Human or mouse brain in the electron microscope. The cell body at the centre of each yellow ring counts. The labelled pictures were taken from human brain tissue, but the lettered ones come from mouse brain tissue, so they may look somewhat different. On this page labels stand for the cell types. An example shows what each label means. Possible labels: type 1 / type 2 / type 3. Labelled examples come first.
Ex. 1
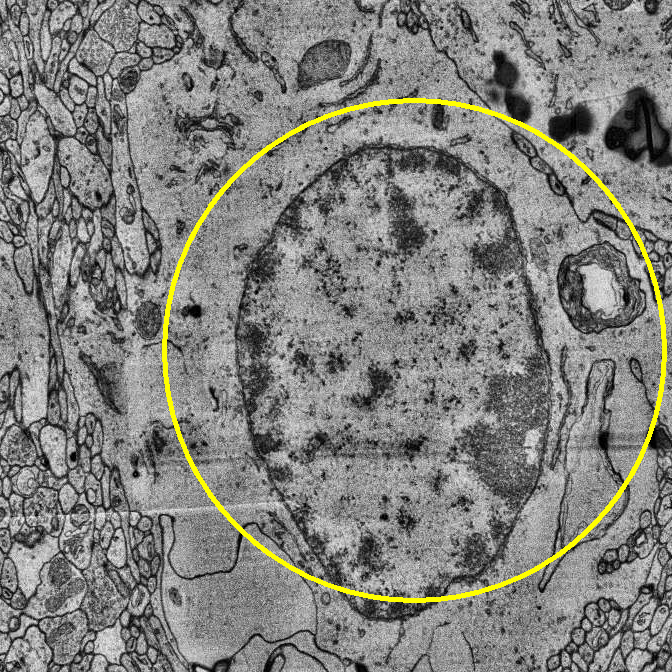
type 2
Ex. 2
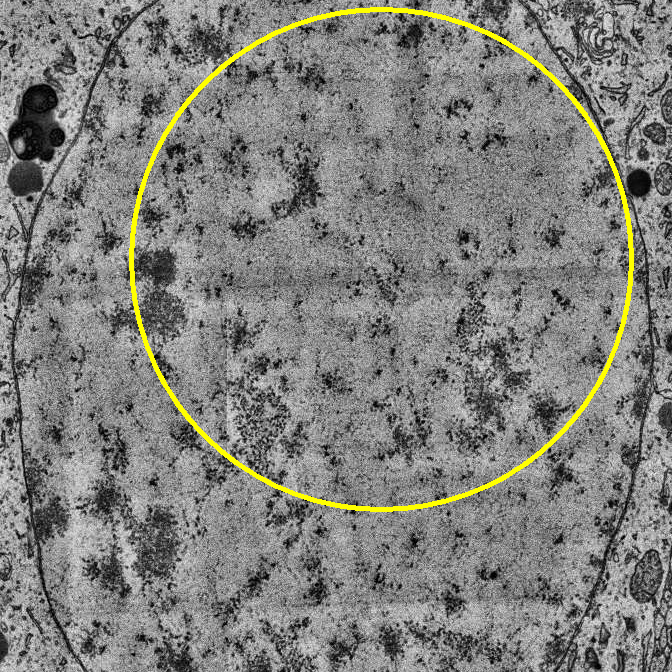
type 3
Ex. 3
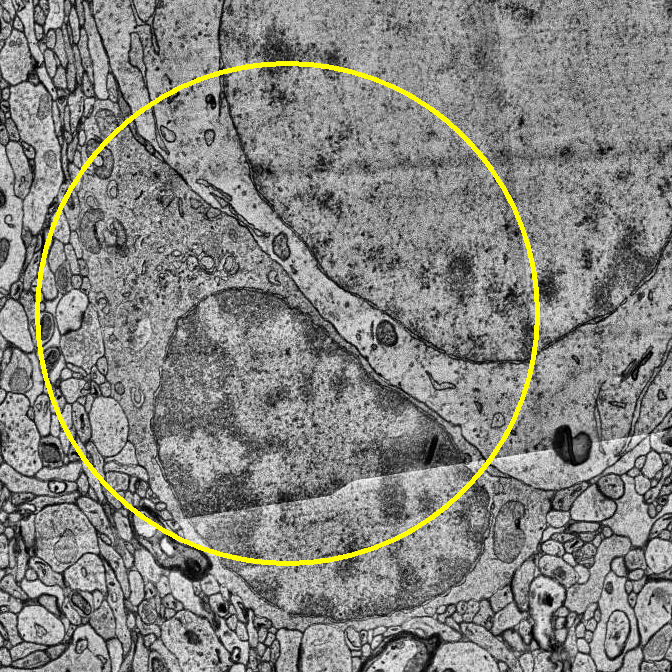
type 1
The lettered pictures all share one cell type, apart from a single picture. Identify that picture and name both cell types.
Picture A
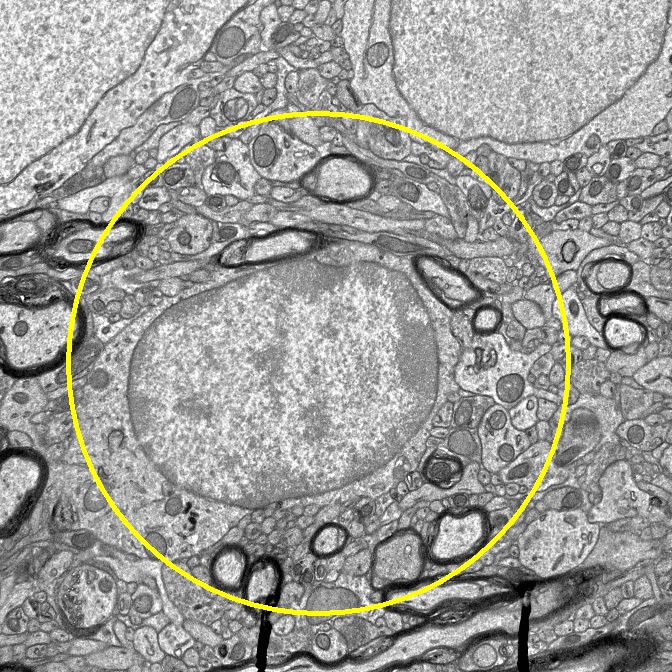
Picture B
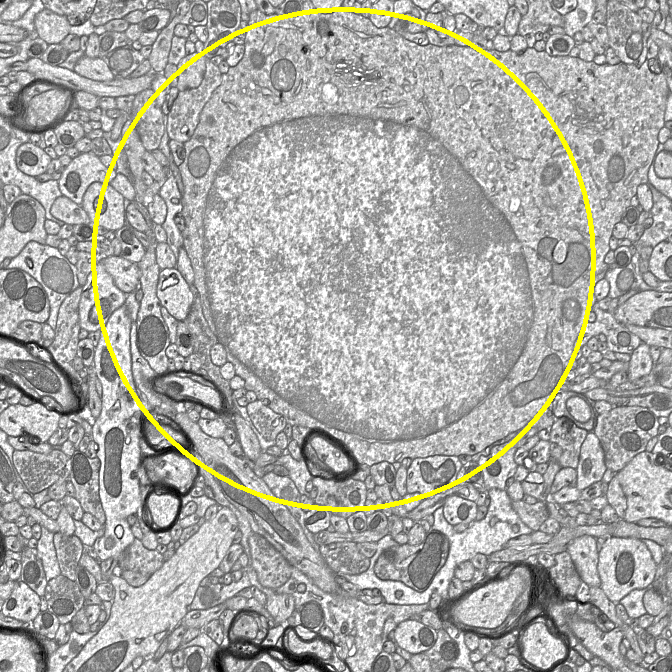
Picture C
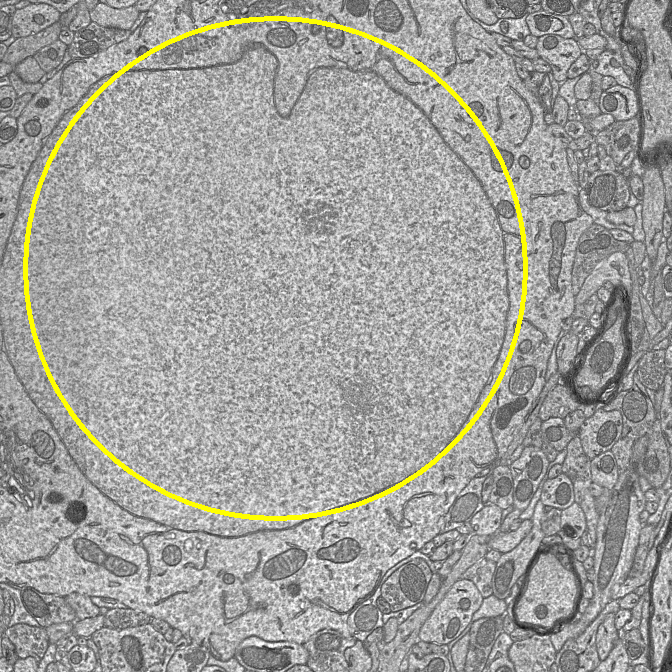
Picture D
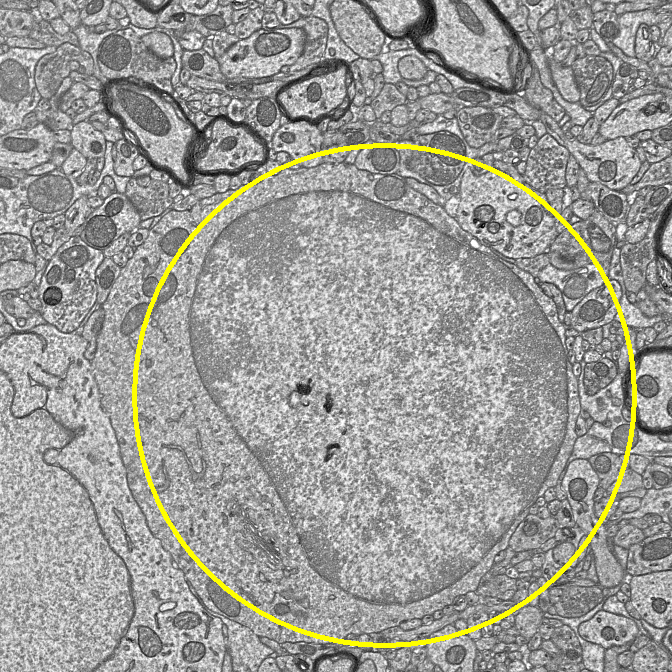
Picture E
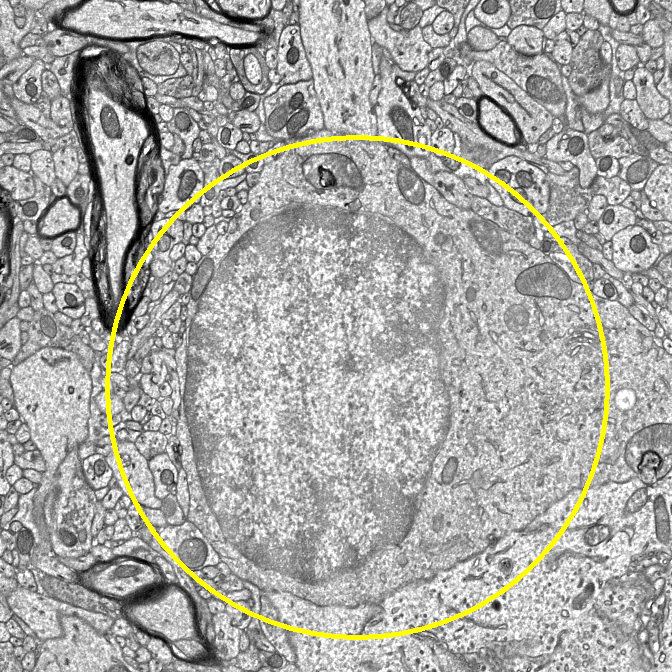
C: type 3; all the others: type 1.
